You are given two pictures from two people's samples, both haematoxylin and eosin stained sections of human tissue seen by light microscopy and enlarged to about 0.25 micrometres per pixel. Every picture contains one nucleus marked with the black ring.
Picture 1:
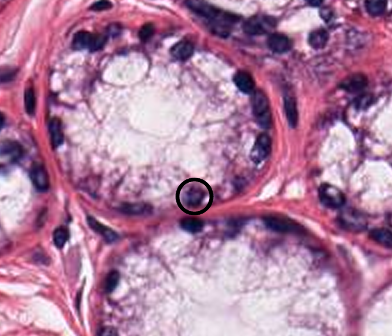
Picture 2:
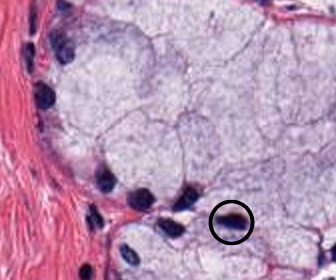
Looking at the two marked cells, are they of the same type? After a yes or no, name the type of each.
Yes, both are mucous gland cells.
